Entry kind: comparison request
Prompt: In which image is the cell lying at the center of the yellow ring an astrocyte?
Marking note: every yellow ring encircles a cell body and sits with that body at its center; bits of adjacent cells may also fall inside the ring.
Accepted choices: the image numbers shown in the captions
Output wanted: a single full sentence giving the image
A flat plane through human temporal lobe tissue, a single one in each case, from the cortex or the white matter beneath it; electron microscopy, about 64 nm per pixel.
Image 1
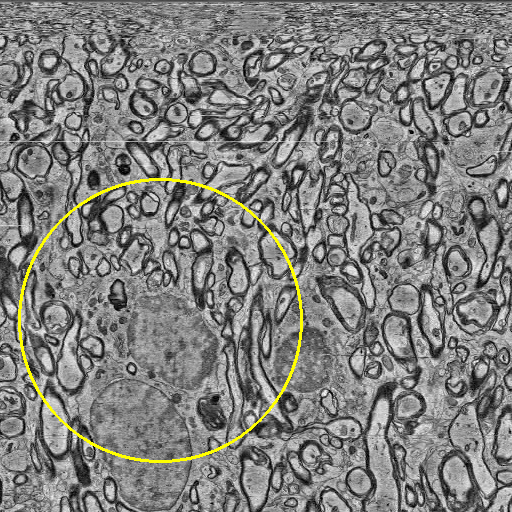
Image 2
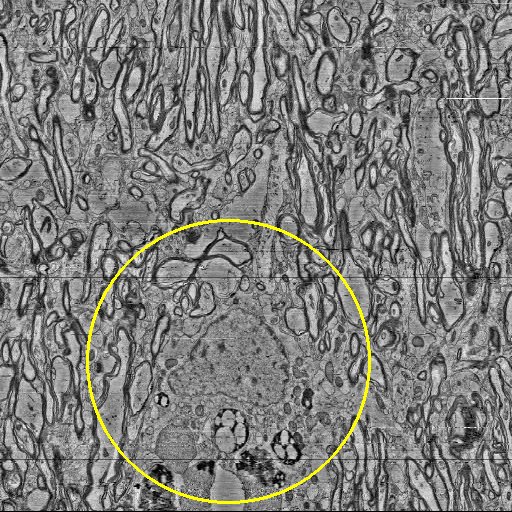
In image 2, the ringed cell at the center matches the prompt.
